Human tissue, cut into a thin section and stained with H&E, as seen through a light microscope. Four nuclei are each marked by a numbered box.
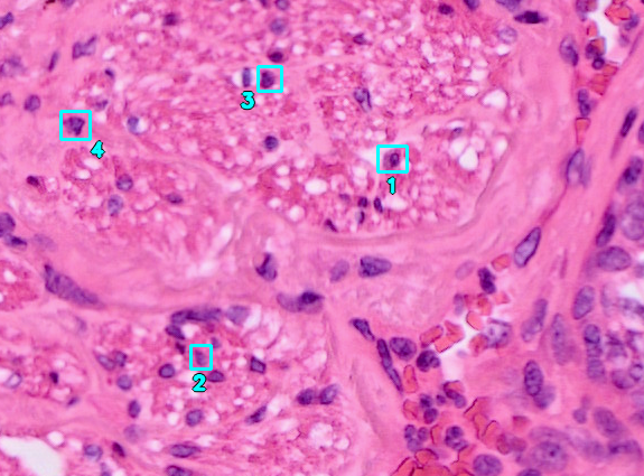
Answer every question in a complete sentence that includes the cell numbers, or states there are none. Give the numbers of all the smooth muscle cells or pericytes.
The cells given the numbers 1, 2 and 3 are smooth muscle cells or pericytes.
